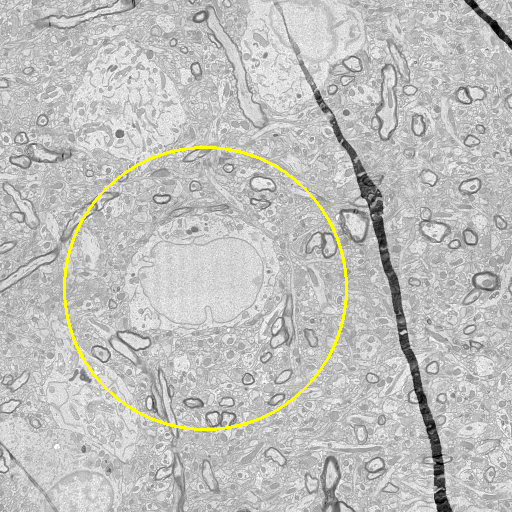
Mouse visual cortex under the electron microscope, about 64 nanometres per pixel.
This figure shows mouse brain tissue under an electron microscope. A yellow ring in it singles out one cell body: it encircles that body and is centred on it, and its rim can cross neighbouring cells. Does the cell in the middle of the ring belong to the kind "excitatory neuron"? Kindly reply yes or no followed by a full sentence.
Yes, the kind asked about is right for the cell centred in the figure's ring.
